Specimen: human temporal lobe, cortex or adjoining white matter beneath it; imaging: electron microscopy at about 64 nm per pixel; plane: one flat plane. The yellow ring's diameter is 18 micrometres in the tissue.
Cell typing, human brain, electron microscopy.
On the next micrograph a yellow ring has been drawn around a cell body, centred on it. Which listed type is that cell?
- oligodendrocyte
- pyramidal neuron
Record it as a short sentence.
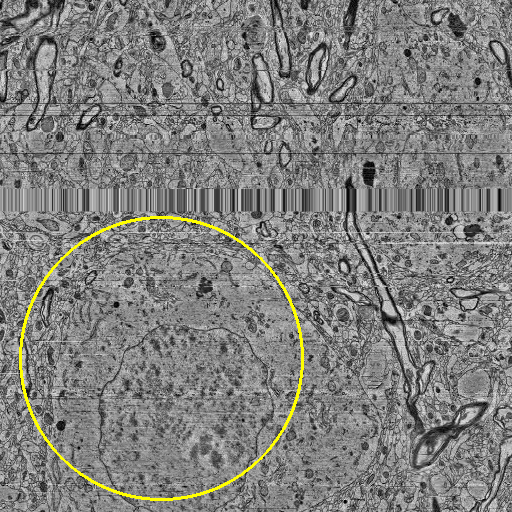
The cell body in the ring's centre belongs to a pyramidal neuron.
